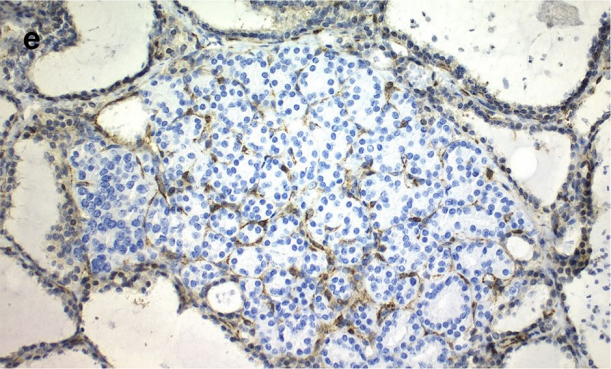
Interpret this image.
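This is thyroid tissue with a rounded nodule of small crowded follicles and solid clusters of cells whose round nuclei are counterstained blue. The cells of the nodule show no brown colour in their cytoplasm. Thin brown threads run between the cell clusters, tracing a fine network of small vessels, the endothelial cells. Around the nodule lie larger, mostly empty-looking follicles lined by flattened cells whose lining shows a faint brownish tint, unlike the cells of the nodule.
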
